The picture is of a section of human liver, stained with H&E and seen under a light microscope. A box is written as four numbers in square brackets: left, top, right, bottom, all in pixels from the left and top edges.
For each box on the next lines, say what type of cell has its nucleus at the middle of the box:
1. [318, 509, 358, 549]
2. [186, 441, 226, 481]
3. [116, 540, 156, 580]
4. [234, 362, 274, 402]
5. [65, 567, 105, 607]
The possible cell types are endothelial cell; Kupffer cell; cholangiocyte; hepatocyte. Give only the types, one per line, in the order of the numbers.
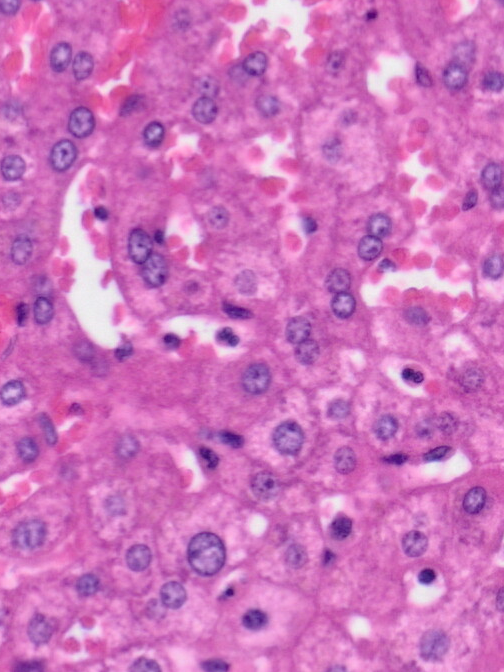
Kupffer cell
Kupffer cell
hepatocyte
hepatocyte
hepatocyte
